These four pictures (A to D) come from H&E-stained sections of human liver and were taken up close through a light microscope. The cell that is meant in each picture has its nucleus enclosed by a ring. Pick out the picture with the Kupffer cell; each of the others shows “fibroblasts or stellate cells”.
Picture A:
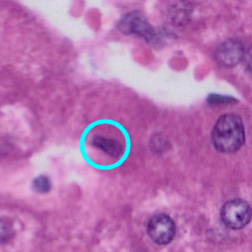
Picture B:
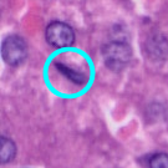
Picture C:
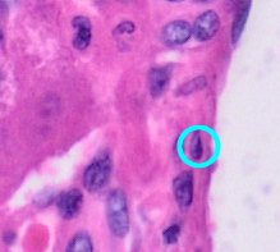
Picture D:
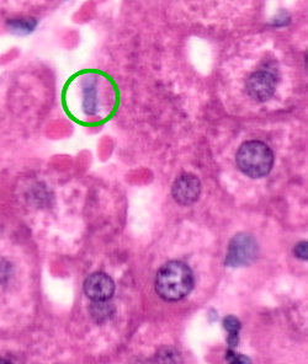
D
